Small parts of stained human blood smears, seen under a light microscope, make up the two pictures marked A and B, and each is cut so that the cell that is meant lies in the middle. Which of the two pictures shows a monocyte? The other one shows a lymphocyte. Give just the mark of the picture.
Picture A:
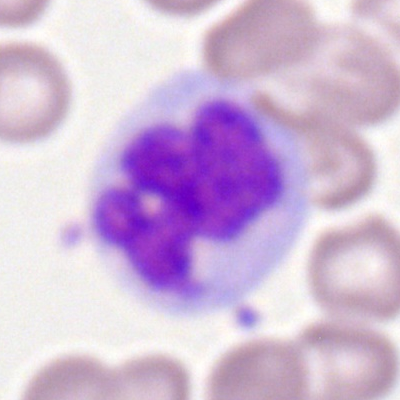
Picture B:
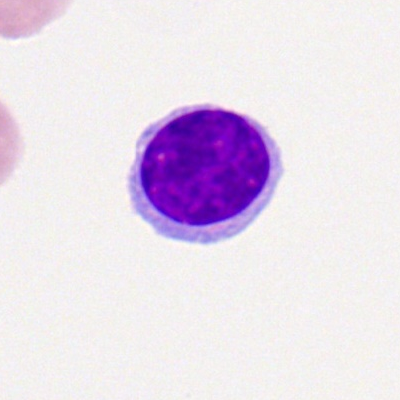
A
